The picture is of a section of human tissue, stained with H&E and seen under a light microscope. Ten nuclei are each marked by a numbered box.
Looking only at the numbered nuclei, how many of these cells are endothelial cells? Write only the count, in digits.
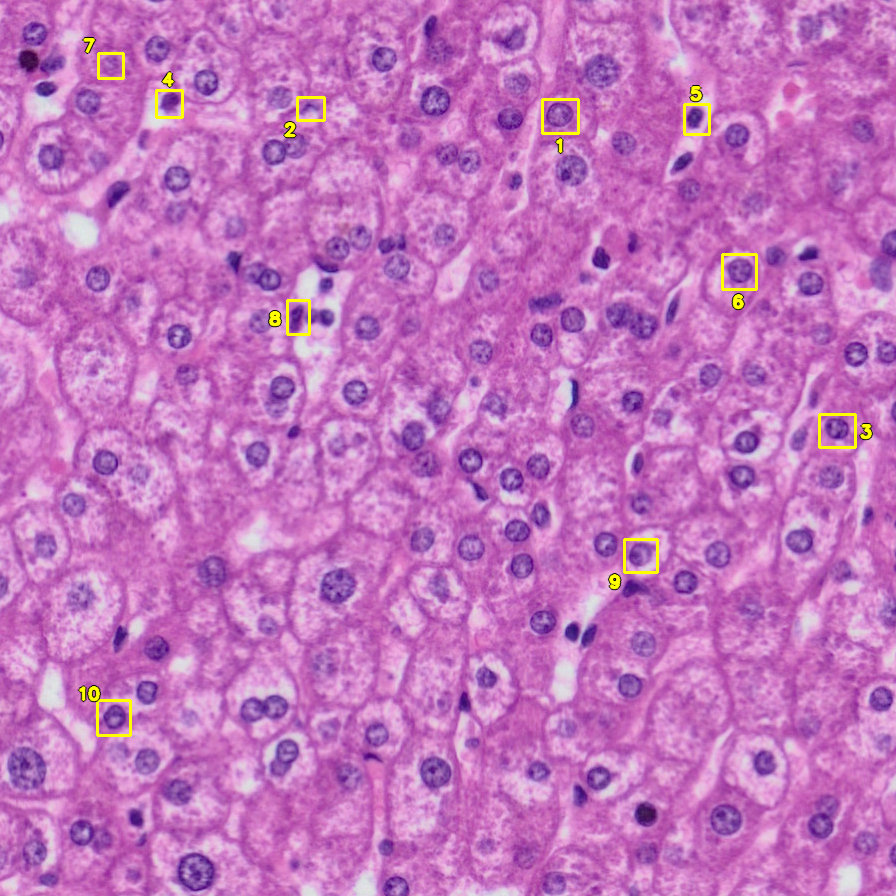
1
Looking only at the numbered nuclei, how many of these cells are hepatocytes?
6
